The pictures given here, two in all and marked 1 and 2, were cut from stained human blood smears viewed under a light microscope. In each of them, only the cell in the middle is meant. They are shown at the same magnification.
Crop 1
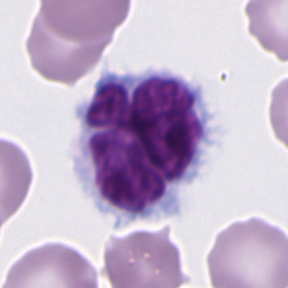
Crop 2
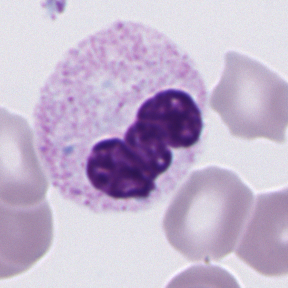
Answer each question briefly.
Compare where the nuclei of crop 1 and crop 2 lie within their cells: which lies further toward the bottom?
2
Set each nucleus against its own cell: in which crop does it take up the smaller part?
2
